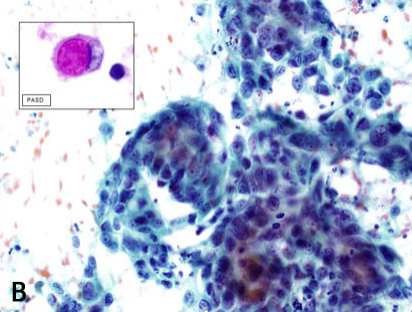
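Cohesive three-dimensional clusters of atypical epithelial cells with enlarged, crowded, irregular dark nuclei lie on a clear background with a few red blood cells. In the inset, a single large round cell has its cytoplasm filled with magenta material that pushes its dark nucleus to the edge, beside a much smaller round cell.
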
